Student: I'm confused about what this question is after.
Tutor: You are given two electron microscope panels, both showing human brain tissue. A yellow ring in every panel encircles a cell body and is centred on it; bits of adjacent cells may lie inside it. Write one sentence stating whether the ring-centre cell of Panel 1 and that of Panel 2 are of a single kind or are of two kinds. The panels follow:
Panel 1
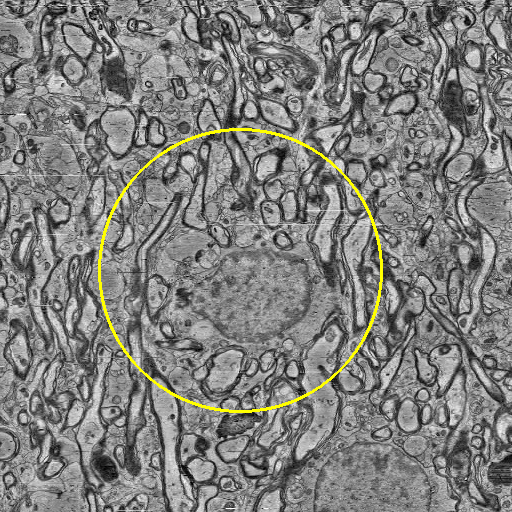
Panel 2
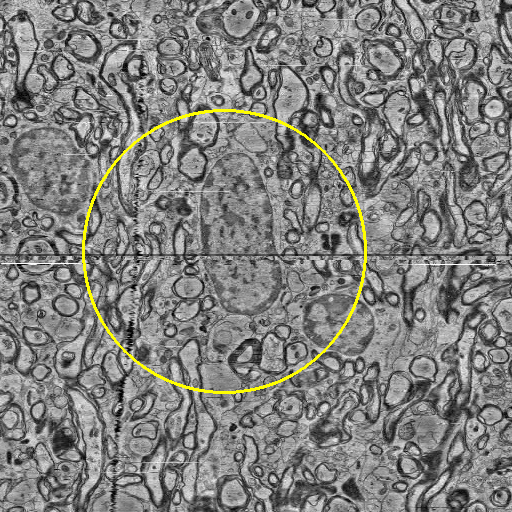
Here, the Panel 1 ring-centre cell and the Panel 2 ring-centre cell are of two kinds.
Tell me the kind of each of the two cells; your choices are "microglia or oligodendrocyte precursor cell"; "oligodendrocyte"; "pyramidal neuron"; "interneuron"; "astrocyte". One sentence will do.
The ringed cell is an oligodendrocyte in the first picture and a microglial cell or oligodendrocyte precursor cell in the second picture.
